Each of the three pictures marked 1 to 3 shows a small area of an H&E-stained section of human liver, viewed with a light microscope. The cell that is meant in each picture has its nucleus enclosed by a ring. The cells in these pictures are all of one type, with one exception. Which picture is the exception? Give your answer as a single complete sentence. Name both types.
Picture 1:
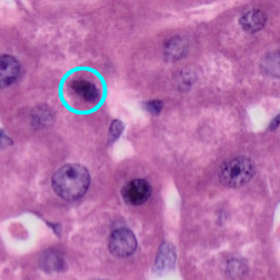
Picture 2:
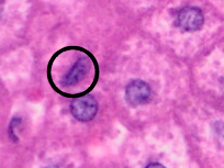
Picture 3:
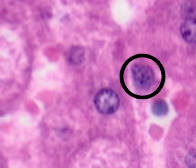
Picture 3 is the odd one out: it shows a Kupffer cell, while the others show “fibroblasts or stellate cells”.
